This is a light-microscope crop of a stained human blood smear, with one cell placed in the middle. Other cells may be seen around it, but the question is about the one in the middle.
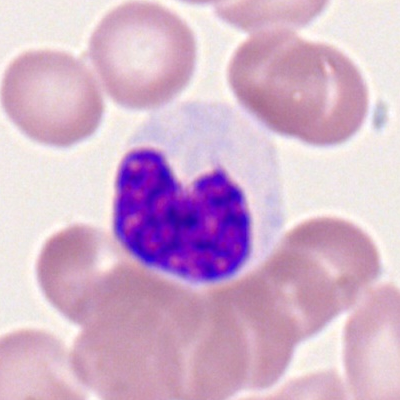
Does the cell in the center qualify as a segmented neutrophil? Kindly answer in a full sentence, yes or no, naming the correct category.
No, the cell in the middle is a band neutrophil; it is not a segmented neutrophil.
